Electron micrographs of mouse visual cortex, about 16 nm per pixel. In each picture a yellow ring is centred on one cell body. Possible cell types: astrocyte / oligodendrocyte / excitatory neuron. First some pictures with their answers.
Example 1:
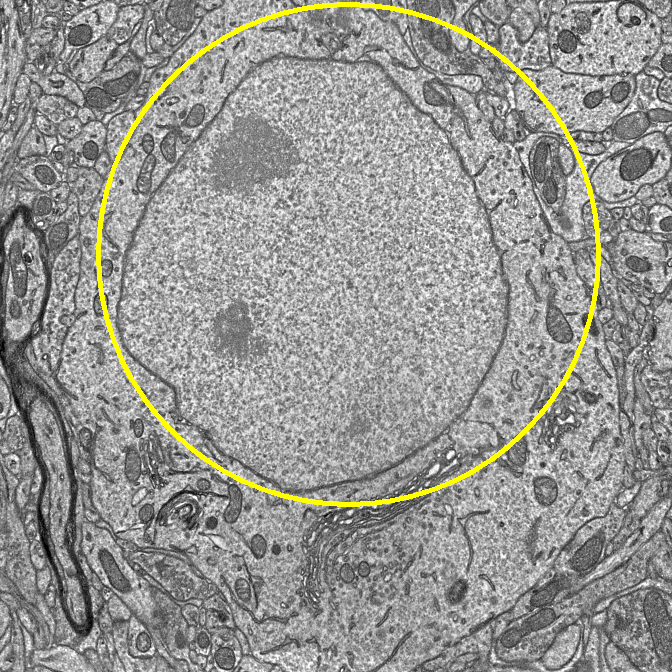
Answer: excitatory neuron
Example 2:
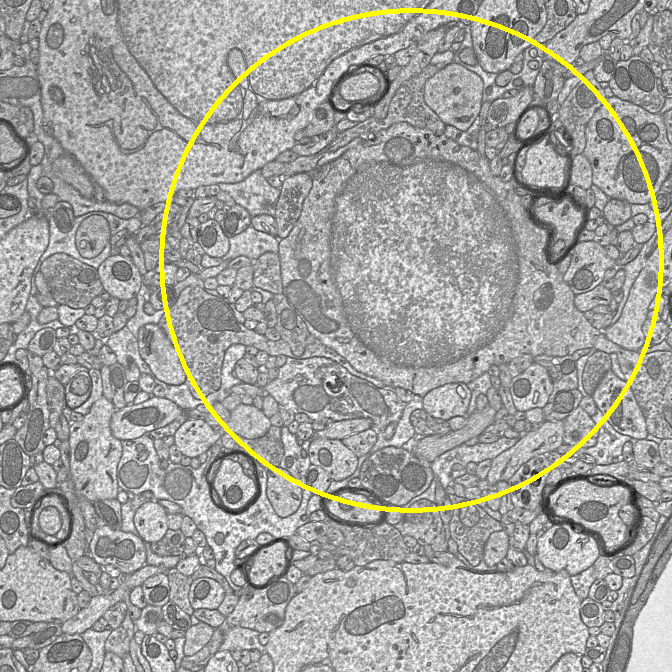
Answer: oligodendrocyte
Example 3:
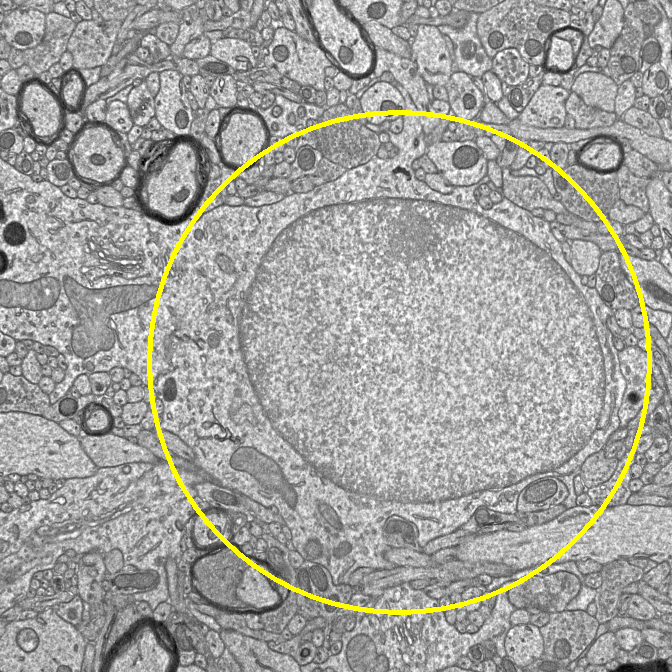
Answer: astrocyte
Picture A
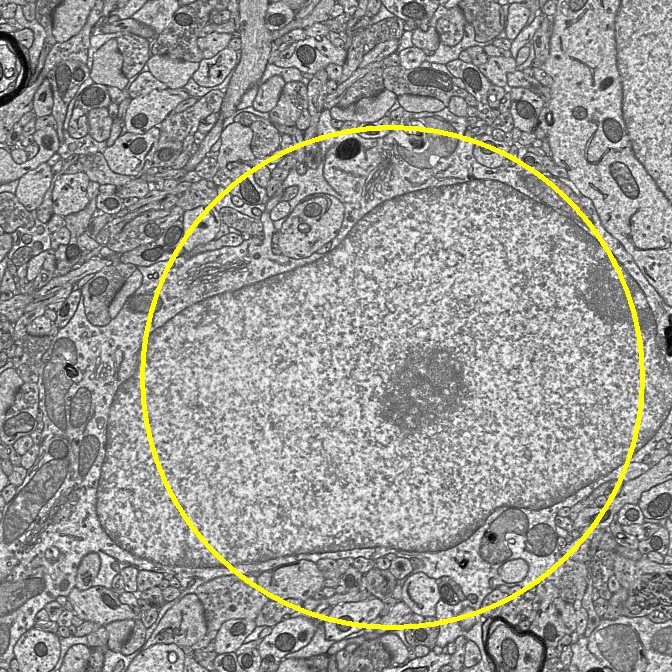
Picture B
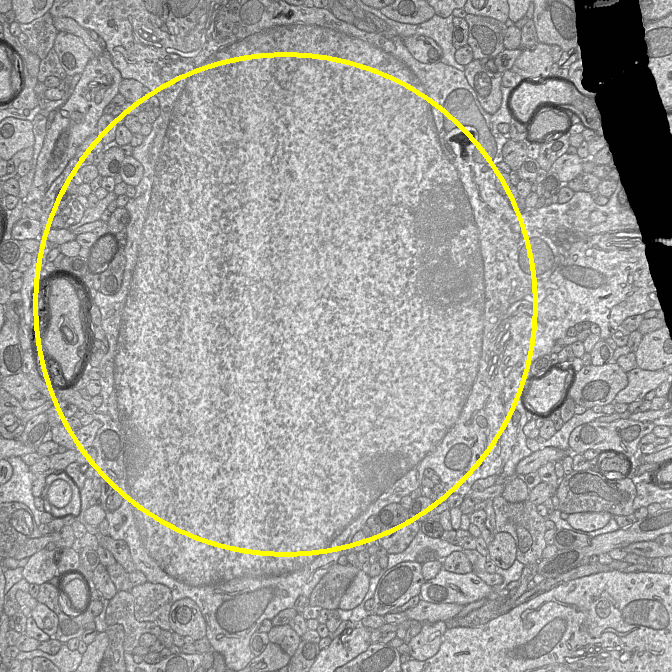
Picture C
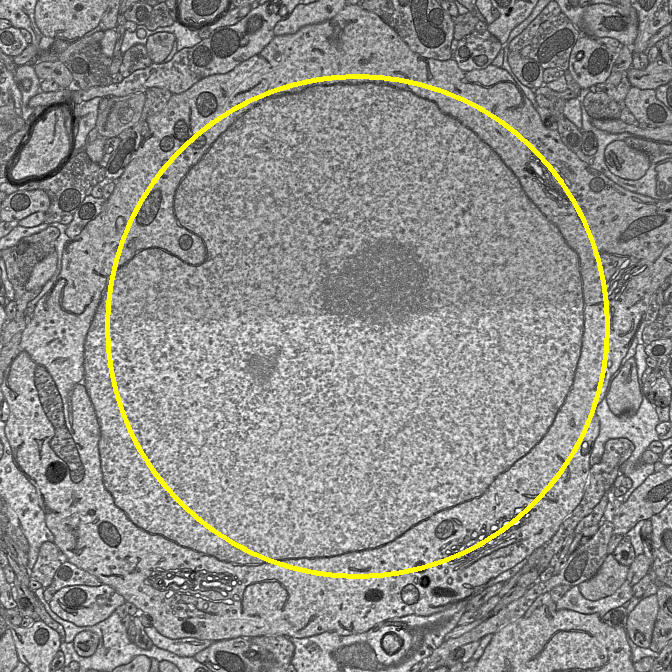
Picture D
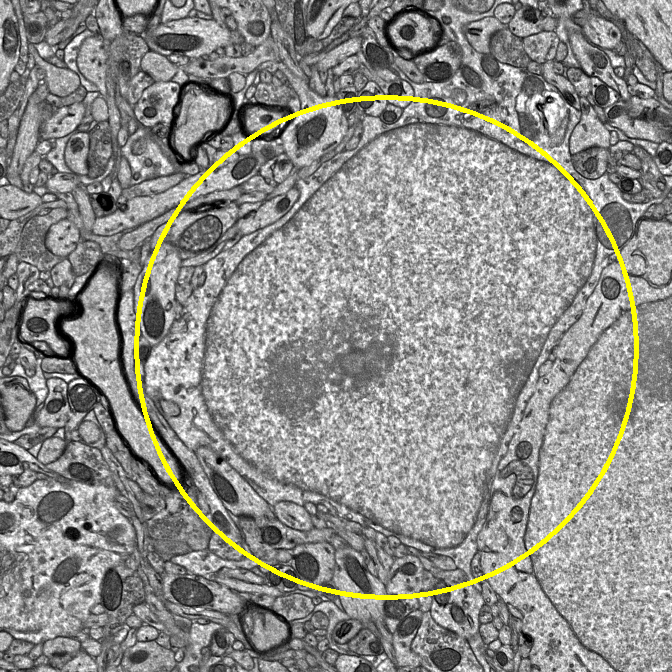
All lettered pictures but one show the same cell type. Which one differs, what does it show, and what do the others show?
Exception: C, showing excitatory neuron. Remaining pictures: astrocyte.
